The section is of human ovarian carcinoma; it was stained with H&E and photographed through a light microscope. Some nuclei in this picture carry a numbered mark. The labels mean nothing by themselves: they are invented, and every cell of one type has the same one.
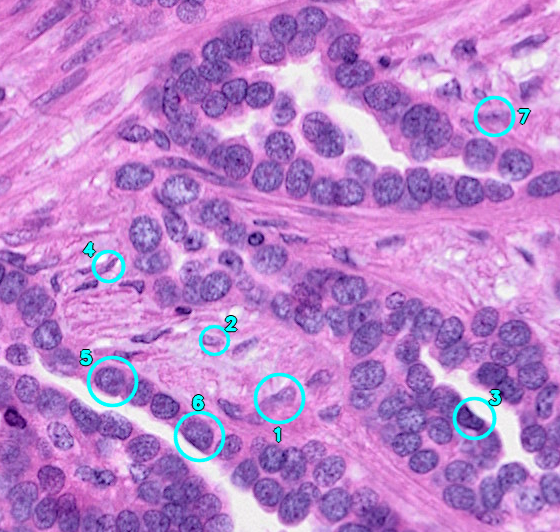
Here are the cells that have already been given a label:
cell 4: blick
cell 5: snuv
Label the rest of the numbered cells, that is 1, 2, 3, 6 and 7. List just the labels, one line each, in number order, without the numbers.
blick
blick
snuv
snuv
blick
